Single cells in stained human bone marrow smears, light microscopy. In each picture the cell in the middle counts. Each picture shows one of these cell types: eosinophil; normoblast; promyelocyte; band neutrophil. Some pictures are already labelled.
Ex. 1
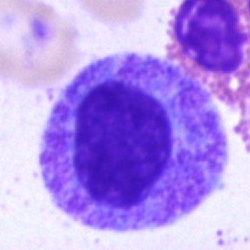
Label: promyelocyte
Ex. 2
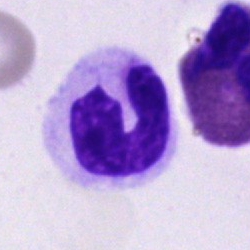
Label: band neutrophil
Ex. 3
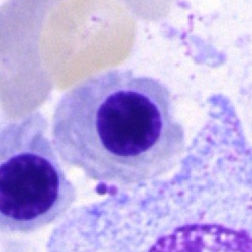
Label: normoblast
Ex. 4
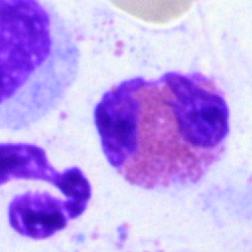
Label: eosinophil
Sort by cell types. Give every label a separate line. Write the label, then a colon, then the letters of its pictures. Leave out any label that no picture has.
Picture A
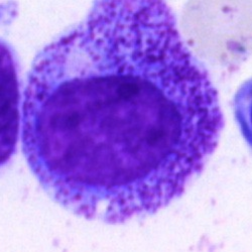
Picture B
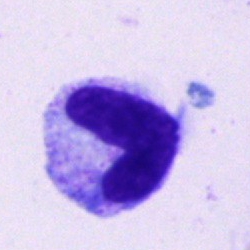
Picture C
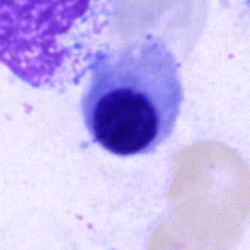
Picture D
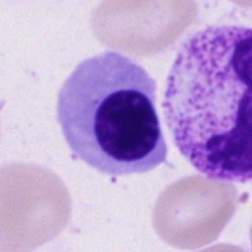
normoblast: C, D
promyelocyte: A
band neutrophil: B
